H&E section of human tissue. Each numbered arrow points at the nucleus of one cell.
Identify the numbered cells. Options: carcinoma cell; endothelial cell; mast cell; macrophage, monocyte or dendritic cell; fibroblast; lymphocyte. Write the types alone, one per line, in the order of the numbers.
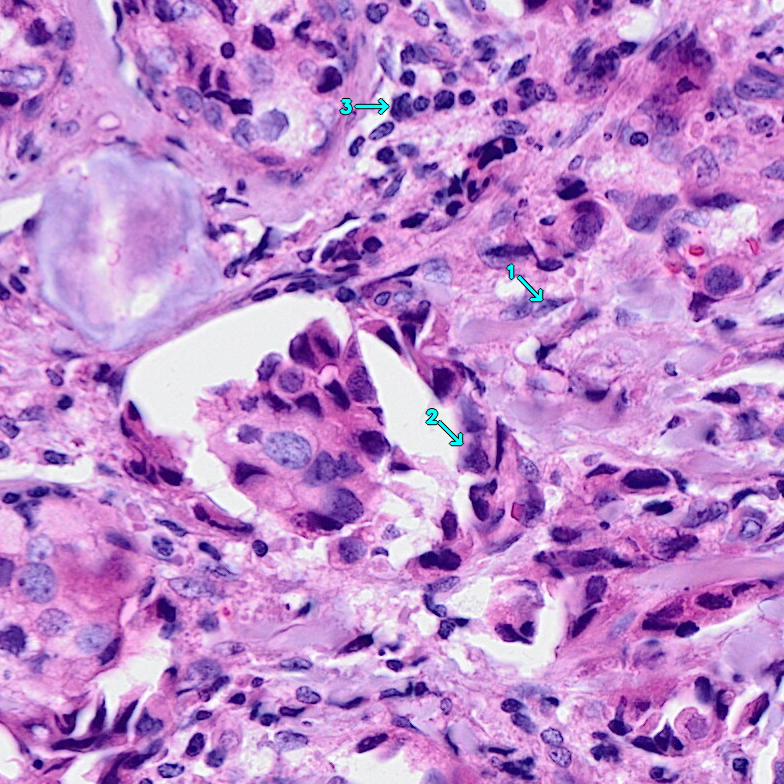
fibroblast
carcinoma cell
lymphocyte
